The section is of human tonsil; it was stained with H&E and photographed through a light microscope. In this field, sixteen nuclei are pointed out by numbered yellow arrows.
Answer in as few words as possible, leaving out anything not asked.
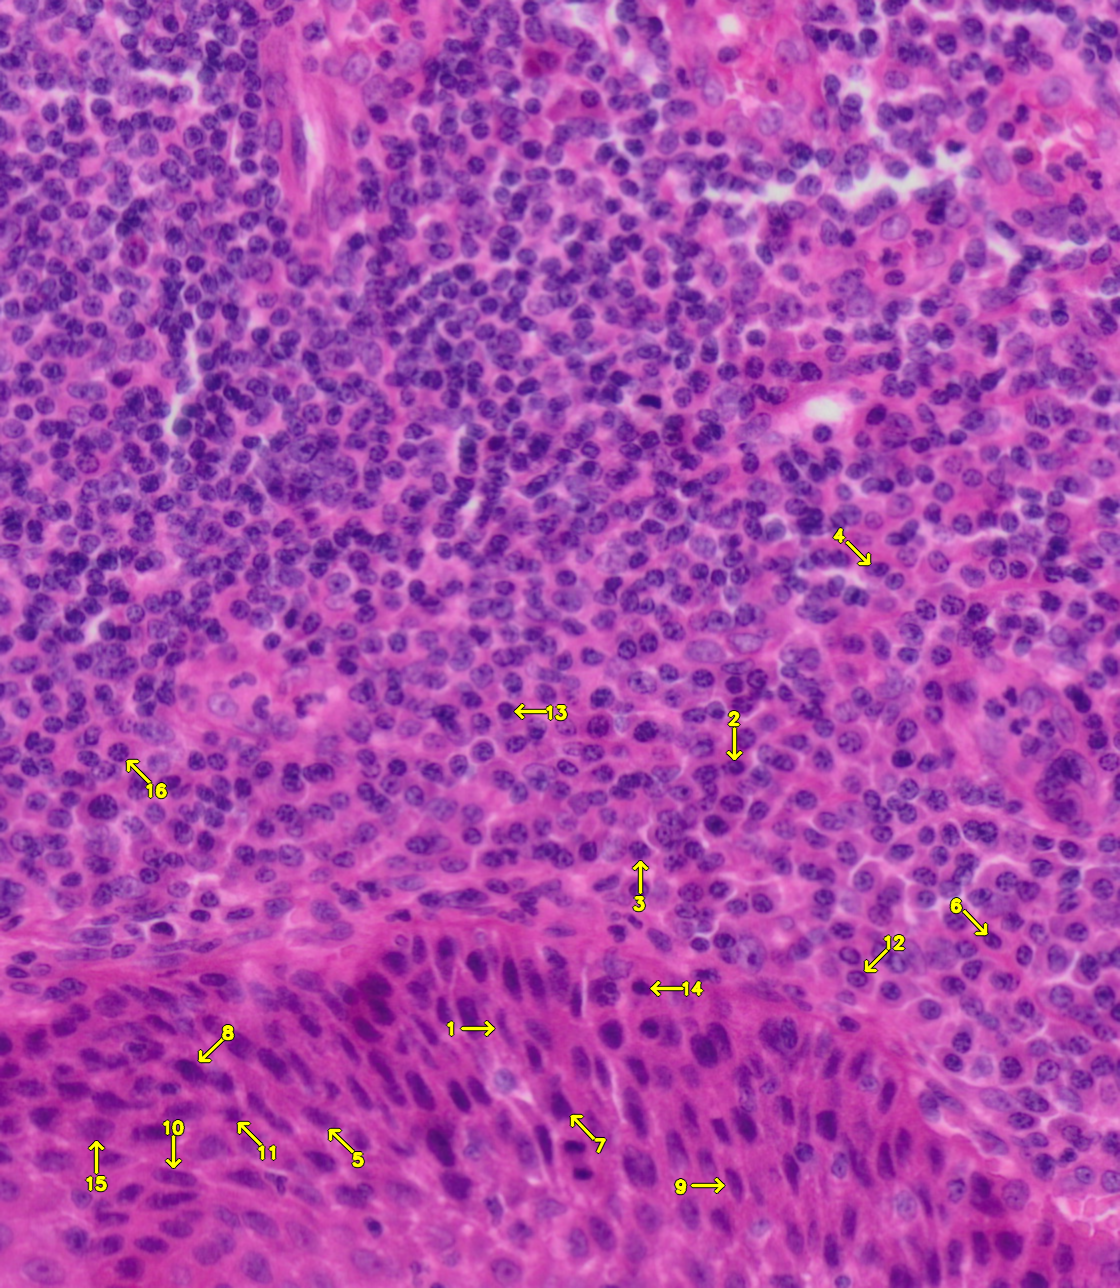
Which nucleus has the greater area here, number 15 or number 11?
15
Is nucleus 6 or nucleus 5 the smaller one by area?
6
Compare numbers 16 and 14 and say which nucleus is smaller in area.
14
